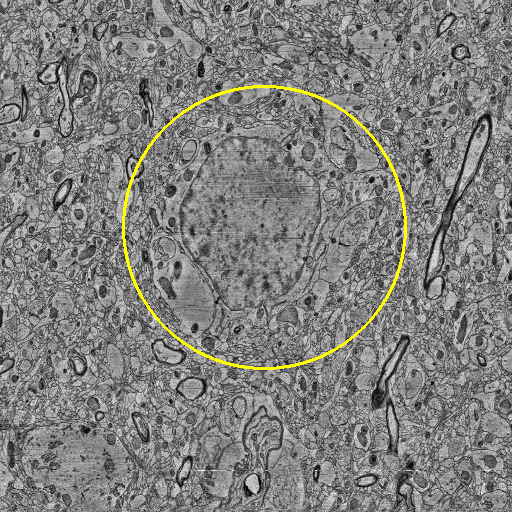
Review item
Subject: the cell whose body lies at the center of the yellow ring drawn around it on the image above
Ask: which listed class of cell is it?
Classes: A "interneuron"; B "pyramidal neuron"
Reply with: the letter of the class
A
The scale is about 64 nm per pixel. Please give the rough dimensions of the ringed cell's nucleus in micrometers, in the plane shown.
In this plane, the nucleus is roughly 11 by 9 micrometres.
